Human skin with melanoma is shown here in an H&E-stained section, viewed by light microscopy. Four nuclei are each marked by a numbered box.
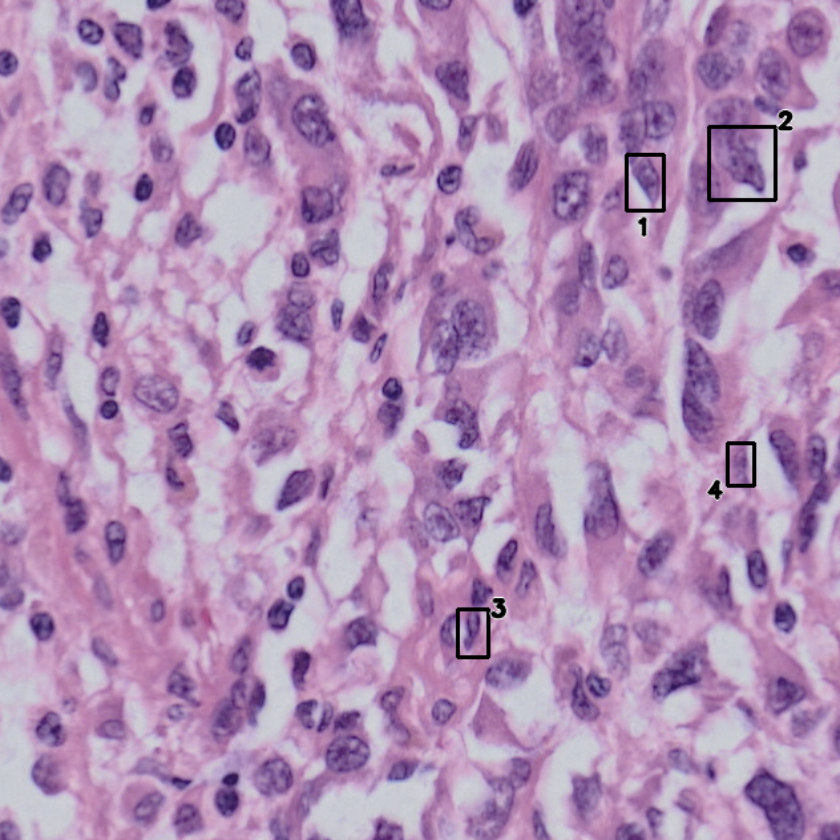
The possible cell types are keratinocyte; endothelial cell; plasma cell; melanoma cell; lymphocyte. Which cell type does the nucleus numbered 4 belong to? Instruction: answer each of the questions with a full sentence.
The numbered cell 4 in this field is a melanoma cell.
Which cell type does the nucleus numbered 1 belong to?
Cell 1, as marked in the section, is a melanoma cell.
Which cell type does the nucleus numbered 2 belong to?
The one numbered 2 among the marked cells is a melanoma cell.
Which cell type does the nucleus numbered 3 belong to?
Here the cell numbered 3 is an endothelial cell.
